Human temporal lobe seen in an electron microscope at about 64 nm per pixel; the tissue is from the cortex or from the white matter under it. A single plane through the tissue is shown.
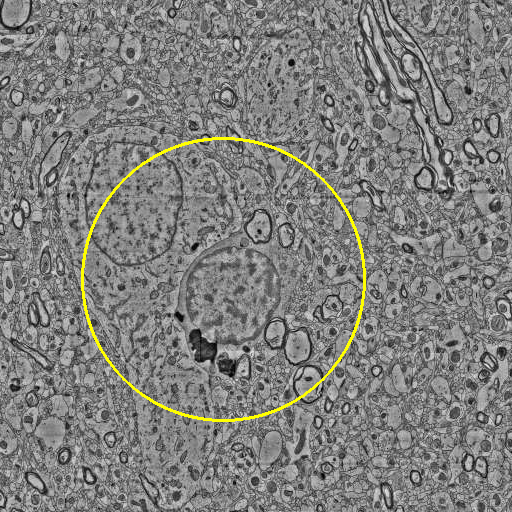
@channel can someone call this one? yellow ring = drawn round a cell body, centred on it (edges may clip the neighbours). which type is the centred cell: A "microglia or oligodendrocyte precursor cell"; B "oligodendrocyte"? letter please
B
